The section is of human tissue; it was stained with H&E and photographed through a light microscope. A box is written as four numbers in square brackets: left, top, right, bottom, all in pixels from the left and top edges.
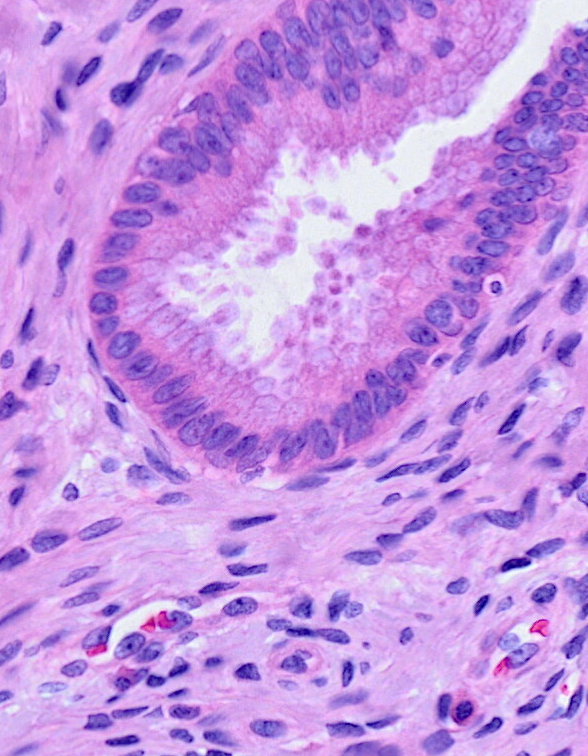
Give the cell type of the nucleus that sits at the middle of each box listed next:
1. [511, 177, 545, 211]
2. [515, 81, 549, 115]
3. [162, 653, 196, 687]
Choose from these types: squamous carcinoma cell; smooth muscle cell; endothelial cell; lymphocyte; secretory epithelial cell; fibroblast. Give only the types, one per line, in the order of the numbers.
secretory epithelial cell
secretory epithelial cell
fibroblast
